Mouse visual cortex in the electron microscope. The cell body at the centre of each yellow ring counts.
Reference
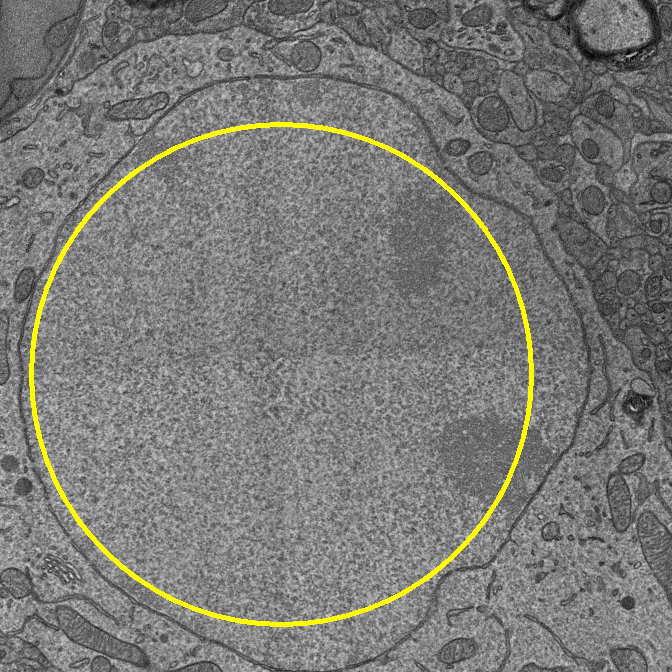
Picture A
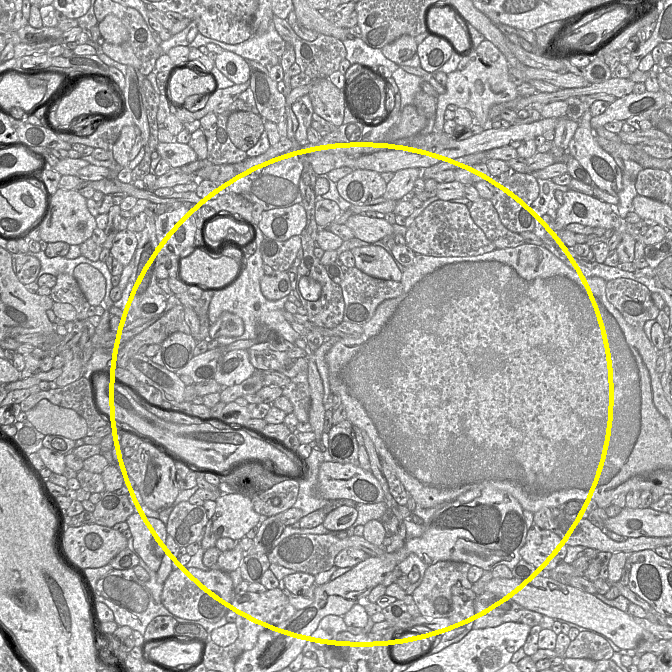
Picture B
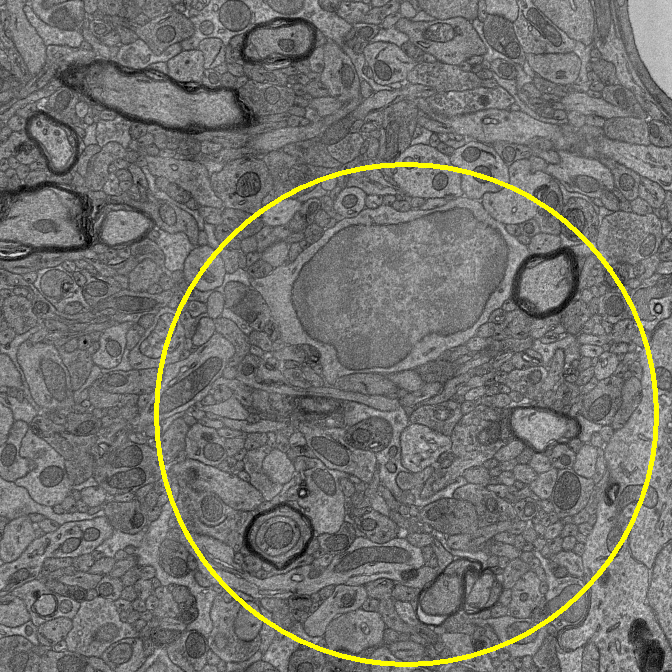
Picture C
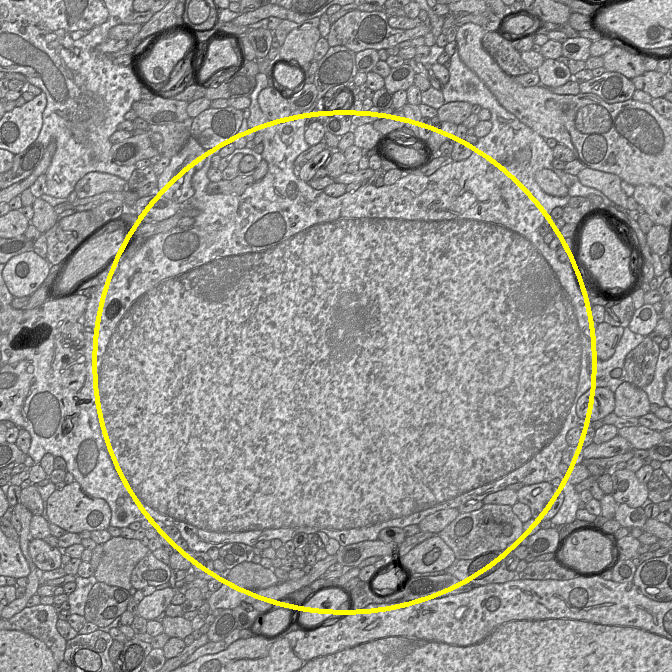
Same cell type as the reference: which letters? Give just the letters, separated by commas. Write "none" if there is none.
none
